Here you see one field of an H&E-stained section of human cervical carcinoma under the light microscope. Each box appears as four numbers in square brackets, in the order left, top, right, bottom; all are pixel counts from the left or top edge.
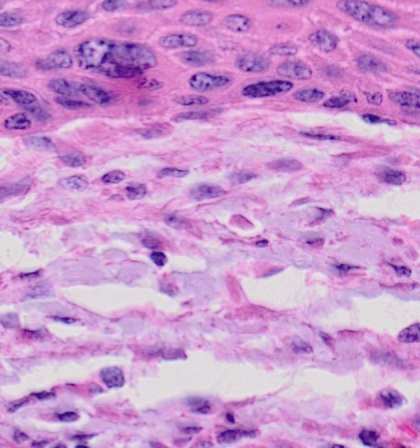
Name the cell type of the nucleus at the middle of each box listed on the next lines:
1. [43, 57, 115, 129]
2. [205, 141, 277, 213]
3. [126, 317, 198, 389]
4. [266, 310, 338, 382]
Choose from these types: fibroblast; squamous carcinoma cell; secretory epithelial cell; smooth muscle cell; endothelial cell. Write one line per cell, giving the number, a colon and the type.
1: squamous carcinoma cell
2: fibroblast
3: fibroblast
4: fibroblast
